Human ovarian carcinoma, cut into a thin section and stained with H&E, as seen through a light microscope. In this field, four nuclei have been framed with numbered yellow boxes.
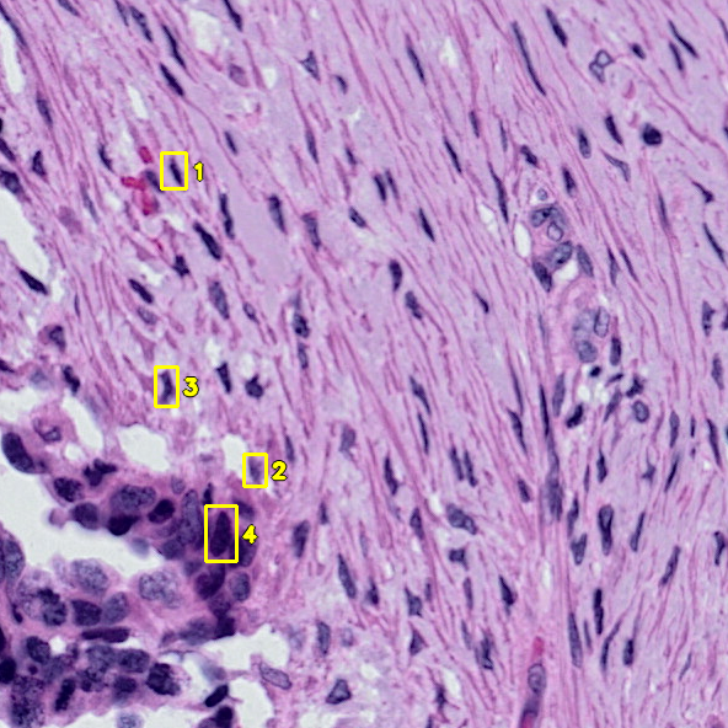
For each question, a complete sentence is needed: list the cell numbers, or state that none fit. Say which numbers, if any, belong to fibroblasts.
The cells that have numbers 1, 2 and 3 are fibroblasts.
